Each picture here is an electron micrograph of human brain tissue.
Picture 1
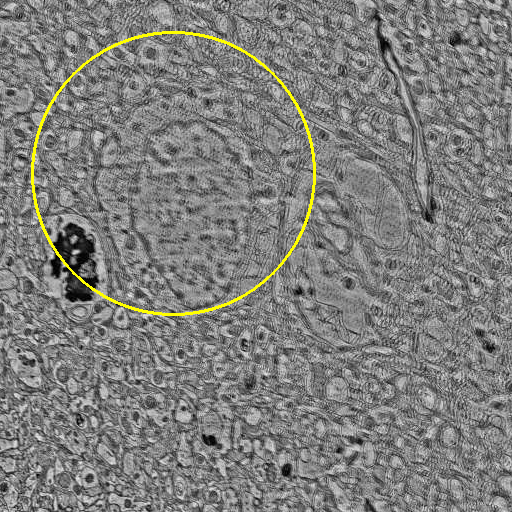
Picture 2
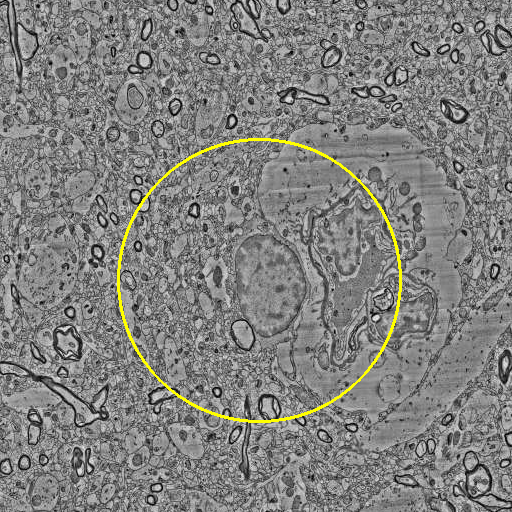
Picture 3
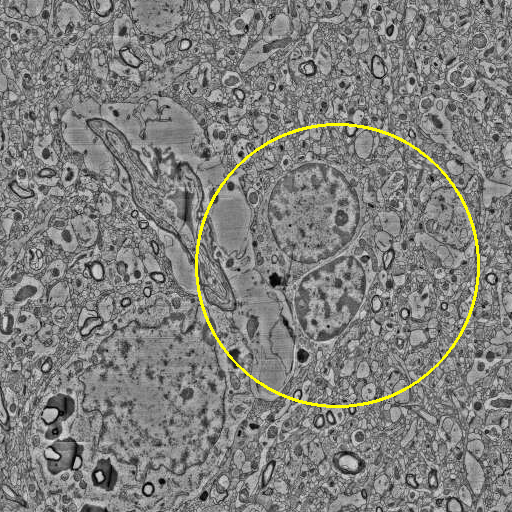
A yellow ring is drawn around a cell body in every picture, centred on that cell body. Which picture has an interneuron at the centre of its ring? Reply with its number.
1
